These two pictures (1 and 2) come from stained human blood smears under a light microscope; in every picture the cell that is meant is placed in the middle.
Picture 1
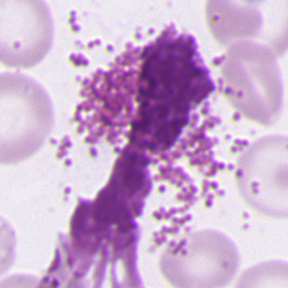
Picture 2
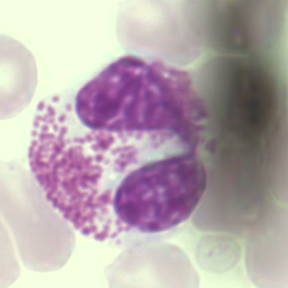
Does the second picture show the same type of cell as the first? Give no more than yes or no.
yes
